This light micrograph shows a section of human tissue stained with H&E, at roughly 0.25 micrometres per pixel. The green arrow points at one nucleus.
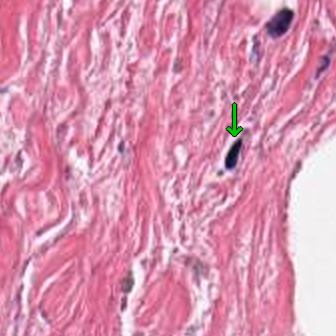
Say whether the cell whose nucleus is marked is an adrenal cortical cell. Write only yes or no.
no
